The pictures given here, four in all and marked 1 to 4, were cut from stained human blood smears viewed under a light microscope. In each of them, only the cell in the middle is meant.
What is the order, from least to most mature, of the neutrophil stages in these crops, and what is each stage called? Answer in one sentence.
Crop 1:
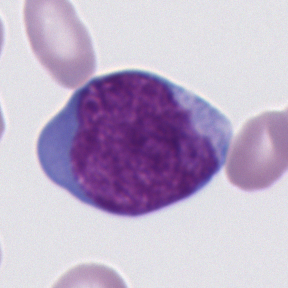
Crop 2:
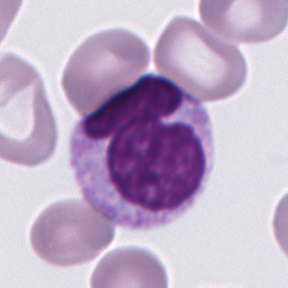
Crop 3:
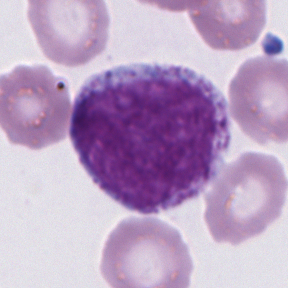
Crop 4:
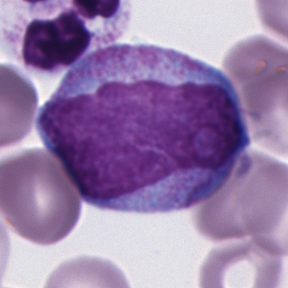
In rising order of maturity, the crops are crop 1 (a myeloblast), crop 4 (a promyelocyte), crop 3 (a myelocyte) and crop 2 (a segmented neutrophil).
